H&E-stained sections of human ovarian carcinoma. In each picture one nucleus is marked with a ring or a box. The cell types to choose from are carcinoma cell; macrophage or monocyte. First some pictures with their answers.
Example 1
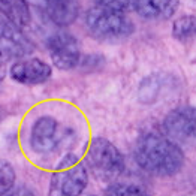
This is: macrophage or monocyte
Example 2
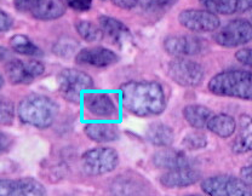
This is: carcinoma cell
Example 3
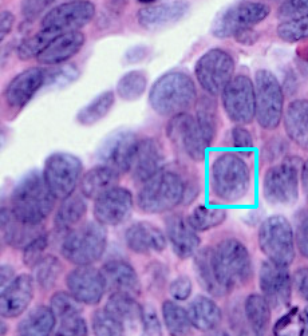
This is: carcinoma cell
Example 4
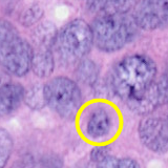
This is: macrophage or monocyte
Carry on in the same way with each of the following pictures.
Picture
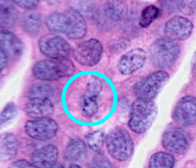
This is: macrophage or monocyte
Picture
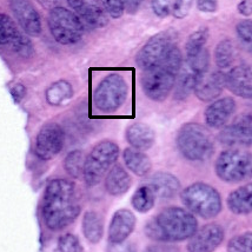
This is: carcinoma cell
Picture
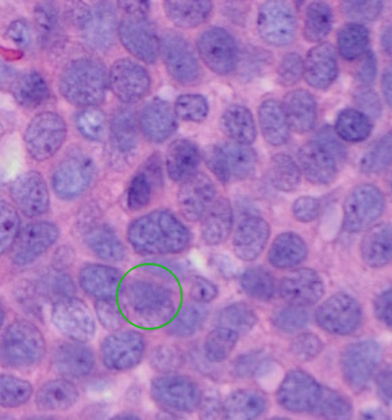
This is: carcinoma cell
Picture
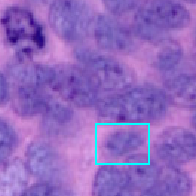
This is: carcinoma cell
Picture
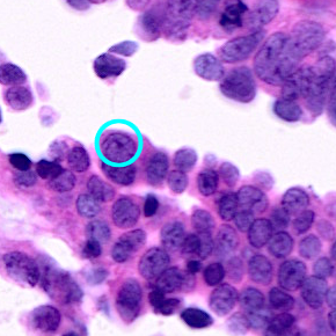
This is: carcinoma cell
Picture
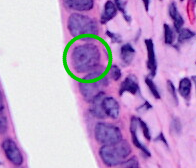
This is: carcinoma cell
